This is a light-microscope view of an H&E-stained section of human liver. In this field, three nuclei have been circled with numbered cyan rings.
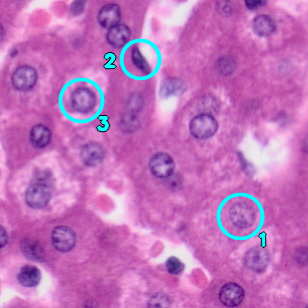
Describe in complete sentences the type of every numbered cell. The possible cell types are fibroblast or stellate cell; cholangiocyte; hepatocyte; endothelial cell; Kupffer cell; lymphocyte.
Cells 1 and 3 are hepatocytes. Cell 2 is a fibroblast or stellate cell.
